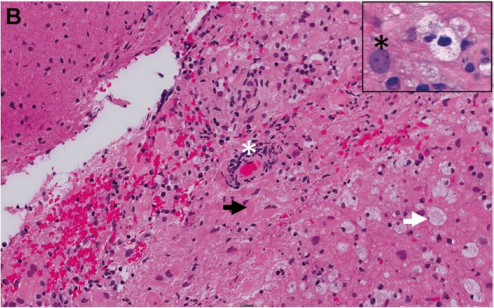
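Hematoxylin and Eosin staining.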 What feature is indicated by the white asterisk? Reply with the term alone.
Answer: Perivascular lymphoid cuffing.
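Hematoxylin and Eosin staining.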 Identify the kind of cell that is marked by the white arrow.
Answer: foamy macrophages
